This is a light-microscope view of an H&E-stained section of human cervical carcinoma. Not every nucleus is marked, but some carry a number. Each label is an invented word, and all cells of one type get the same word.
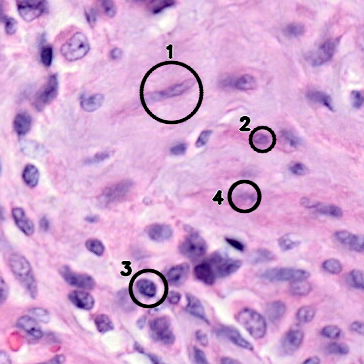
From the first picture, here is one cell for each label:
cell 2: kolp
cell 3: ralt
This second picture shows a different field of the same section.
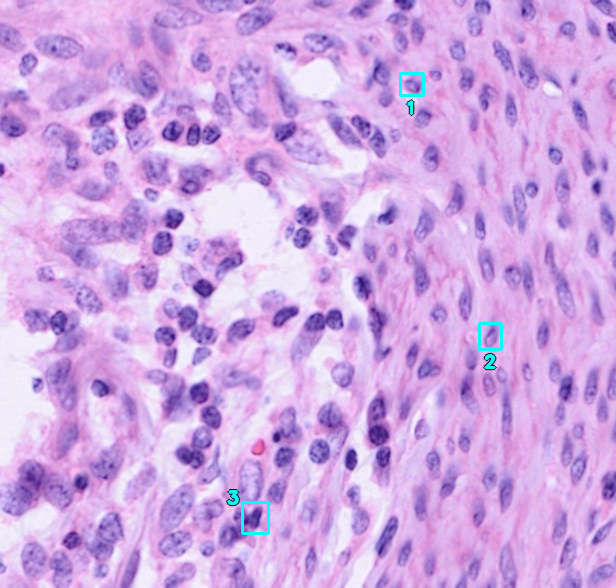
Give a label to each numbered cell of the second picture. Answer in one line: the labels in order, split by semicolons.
kolp; kolp; ralt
